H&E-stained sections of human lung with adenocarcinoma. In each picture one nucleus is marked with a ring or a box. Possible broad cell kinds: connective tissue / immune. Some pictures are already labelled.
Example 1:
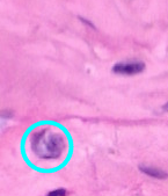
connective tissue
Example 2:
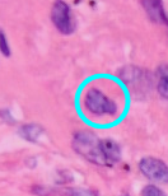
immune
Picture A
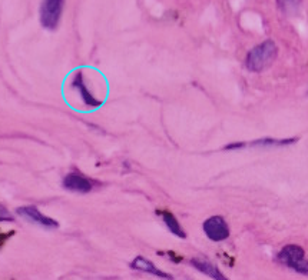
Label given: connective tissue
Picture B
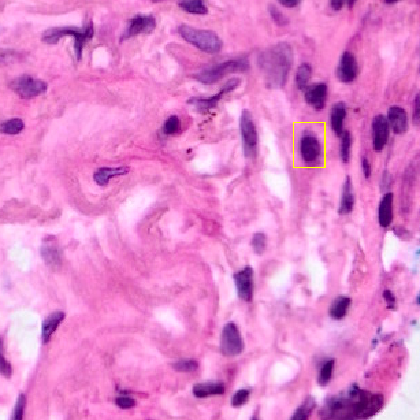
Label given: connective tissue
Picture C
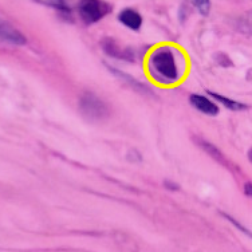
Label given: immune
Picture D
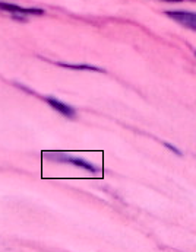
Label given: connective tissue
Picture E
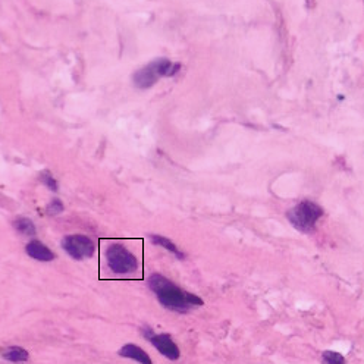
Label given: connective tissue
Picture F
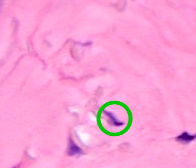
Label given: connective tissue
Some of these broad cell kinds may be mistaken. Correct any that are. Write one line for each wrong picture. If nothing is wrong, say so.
B should be immune, not connective tissue
E should be immune, not connective tissue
